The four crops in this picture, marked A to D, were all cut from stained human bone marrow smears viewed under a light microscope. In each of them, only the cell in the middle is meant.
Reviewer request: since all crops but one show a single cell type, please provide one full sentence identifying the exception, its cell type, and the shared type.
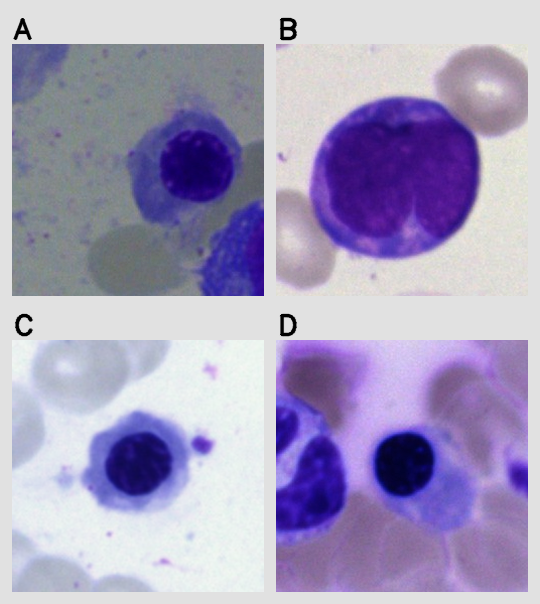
The different one is crop B, which is a blast; the rest all show erythroblasts.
